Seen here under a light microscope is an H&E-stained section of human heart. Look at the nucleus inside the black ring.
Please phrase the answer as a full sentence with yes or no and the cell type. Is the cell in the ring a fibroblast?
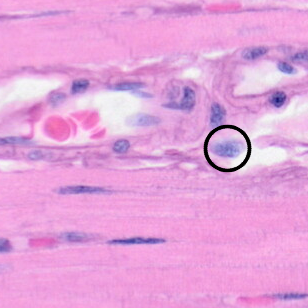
Yes, the identification stands: the cell in the ring is a fibroblast.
